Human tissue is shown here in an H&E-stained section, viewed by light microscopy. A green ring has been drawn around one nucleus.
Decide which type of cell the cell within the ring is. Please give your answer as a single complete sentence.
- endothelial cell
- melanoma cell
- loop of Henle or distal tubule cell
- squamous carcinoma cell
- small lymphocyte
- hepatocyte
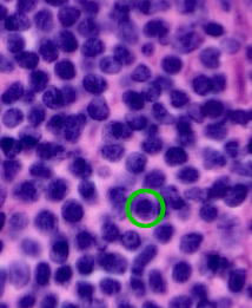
It is as a small lymphocyte that the cell within the ring is classified.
